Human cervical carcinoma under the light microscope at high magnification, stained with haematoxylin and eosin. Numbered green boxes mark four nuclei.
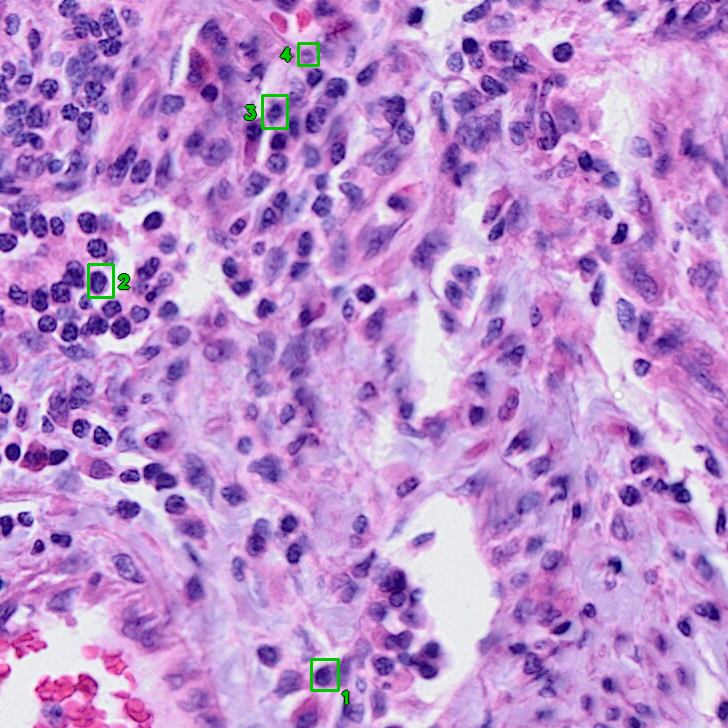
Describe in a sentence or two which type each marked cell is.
Cells 1, 2 and 3 are lymphocytes. Cell 4 is an endothelial cell.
